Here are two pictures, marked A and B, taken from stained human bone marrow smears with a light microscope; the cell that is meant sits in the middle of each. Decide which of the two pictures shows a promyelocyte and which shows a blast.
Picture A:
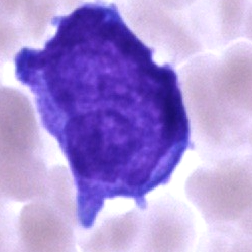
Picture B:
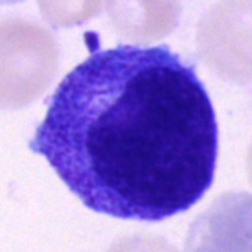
A: blast
B: promyelocyte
